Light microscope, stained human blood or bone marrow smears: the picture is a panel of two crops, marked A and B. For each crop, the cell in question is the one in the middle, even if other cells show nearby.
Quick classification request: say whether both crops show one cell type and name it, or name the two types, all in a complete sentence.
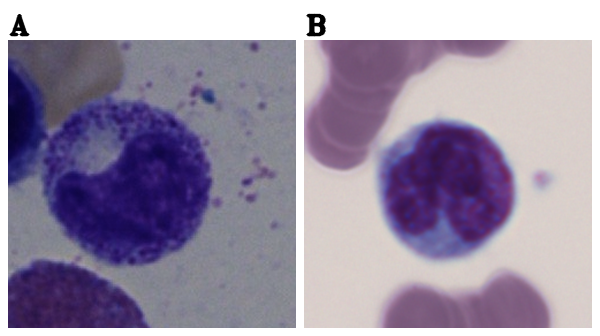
No, crop A shows a metamyelocyte, and the cell in crop B is a monocyte.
